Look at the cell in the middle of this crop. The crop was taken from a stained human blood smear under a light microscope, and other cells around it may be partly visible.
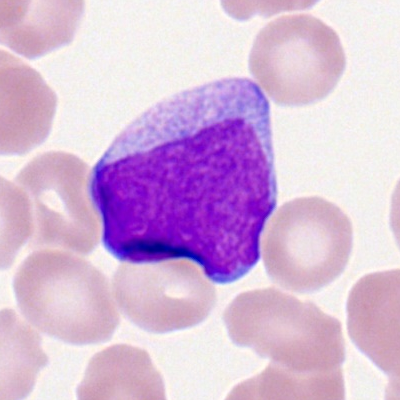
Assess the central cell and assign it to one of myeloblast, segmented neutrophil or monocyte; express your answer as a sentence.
Among the cells in view, the one in the middle is a myeloblast.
